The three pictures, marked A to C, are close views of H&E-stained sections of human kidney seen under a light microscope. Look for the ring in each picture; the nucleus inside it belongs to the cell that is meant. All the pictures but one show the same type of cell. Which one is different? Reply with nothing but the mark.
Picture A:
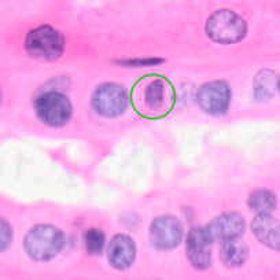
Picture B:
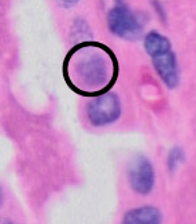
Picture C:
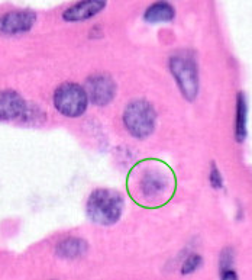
C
